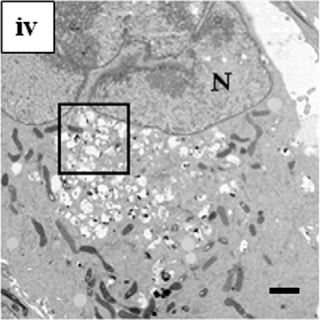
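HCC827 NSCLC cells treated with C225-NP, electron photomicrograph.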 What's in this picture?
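The cytoplasm below the nucleus holds many clear, rounded vacuoles of varied size, some with small black dense particles. Elongated dark profiles lie scattered through the surrounding cytoplasm. A box outlines part of the vacuole cluster next to the nucleus.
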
